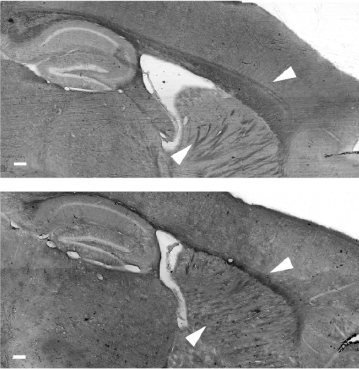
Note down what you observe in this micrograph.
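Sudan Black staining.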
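The stain is grey overall, and the fibre tracts stand out as darker bands and streaks. In each section, a long dark band arcs across the upper part, and a dark fibre tract runs lower in the middle beside a pale, fluid-filled space. Curved folded layers lie in the upper left.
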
